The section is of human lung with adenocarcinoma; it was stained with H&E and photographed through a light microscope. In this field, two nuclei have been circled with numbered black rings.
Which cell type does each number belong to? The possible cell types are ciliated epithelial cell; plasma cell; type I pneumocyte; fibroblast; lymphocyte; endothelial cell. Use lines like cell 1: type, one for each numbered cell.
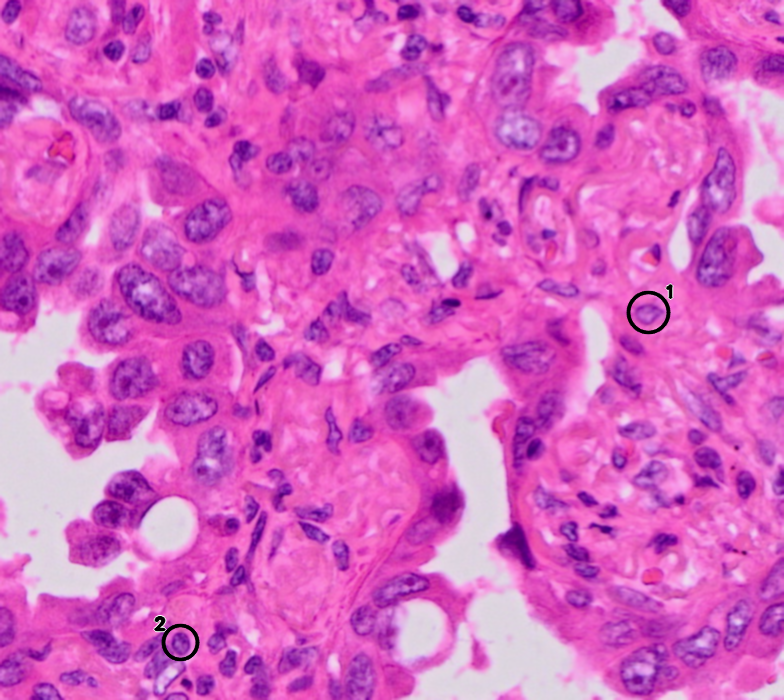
cell 1: fibroblast
cell 2: lymphocyte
